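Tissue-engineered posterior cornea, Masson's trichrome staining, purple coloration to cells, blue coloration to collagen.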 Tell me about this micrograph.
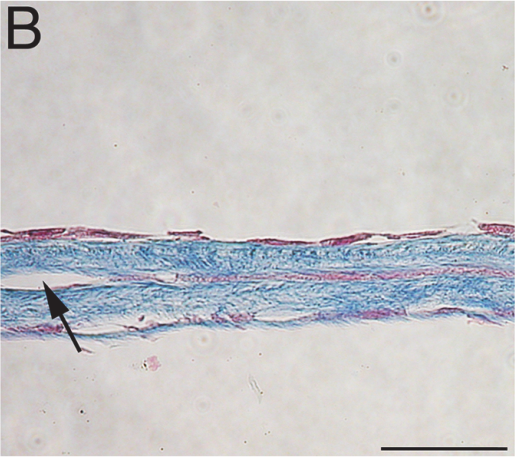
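Elongated, spindle-shaped purple fibroblasts run parallel to the surface within and along the lower edge of each blue sheet. In one place a pale gap separates the two sheets where they have come apart.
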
